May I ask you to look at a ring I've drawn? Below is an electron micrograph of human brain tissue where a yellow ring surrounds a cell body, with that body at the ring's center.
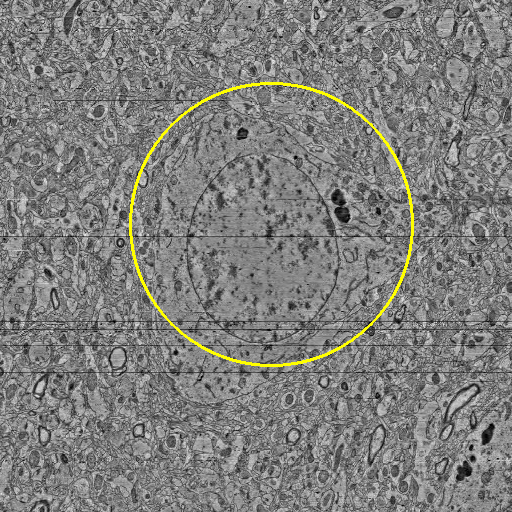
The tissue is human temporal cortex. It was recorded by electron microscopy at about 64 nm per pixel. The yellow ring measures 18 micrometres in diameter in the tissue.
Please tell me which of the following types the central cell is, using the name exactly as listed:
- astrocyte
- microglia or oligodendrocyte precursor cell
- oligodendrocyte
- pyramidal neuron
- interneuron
pyramidal neuron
